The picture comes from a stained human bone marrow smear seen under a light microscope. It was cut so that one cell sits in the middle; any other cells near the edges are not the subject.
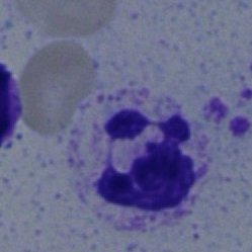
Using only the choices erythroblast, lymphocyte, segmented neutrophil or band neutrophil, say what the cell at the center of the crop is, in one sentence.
The cell of interest, in the center, is a segmented neutrophil.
